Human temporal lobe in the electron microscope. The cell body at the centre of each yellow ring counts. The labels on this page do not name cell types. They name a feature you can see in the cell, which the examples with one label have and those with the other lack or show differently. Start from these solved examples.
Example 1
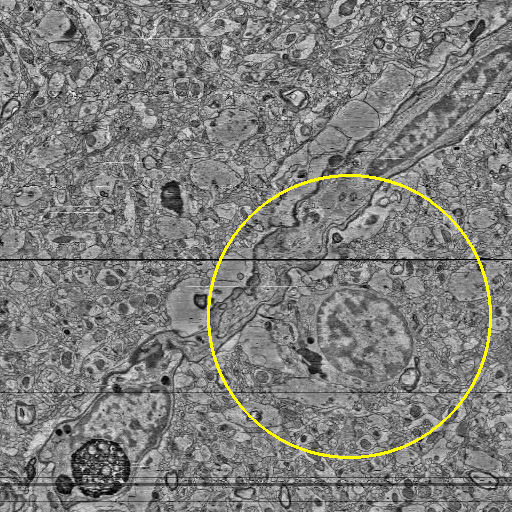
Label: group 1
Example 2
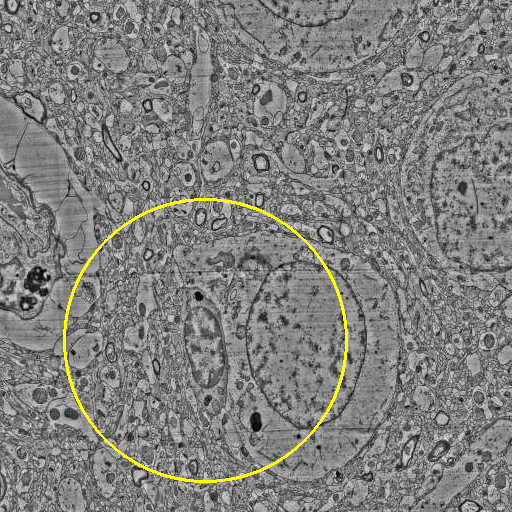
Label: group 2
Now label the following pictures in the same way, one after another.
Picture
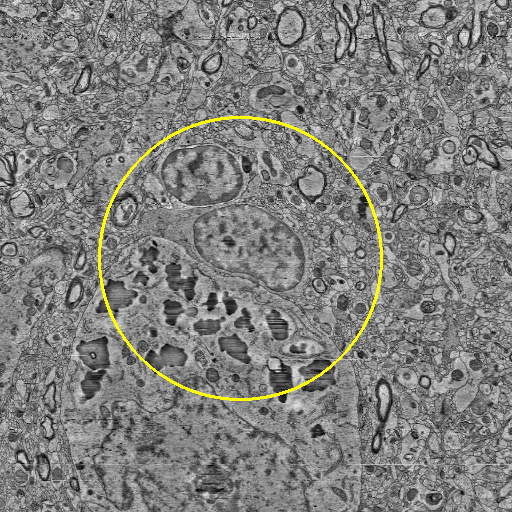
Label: group 2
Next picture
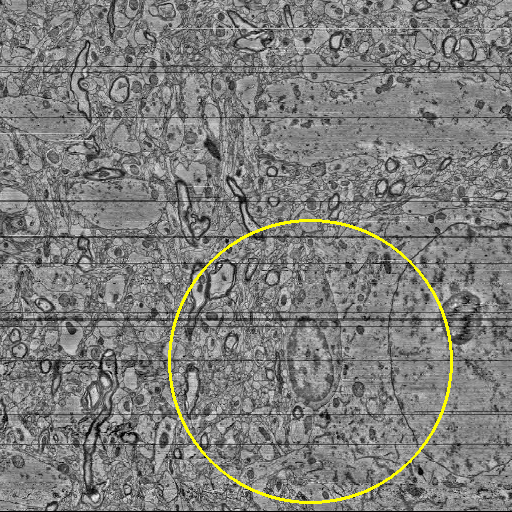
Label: group 2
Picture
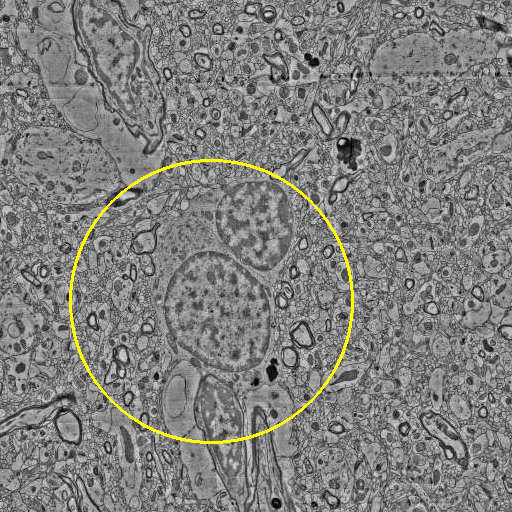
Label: group 1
